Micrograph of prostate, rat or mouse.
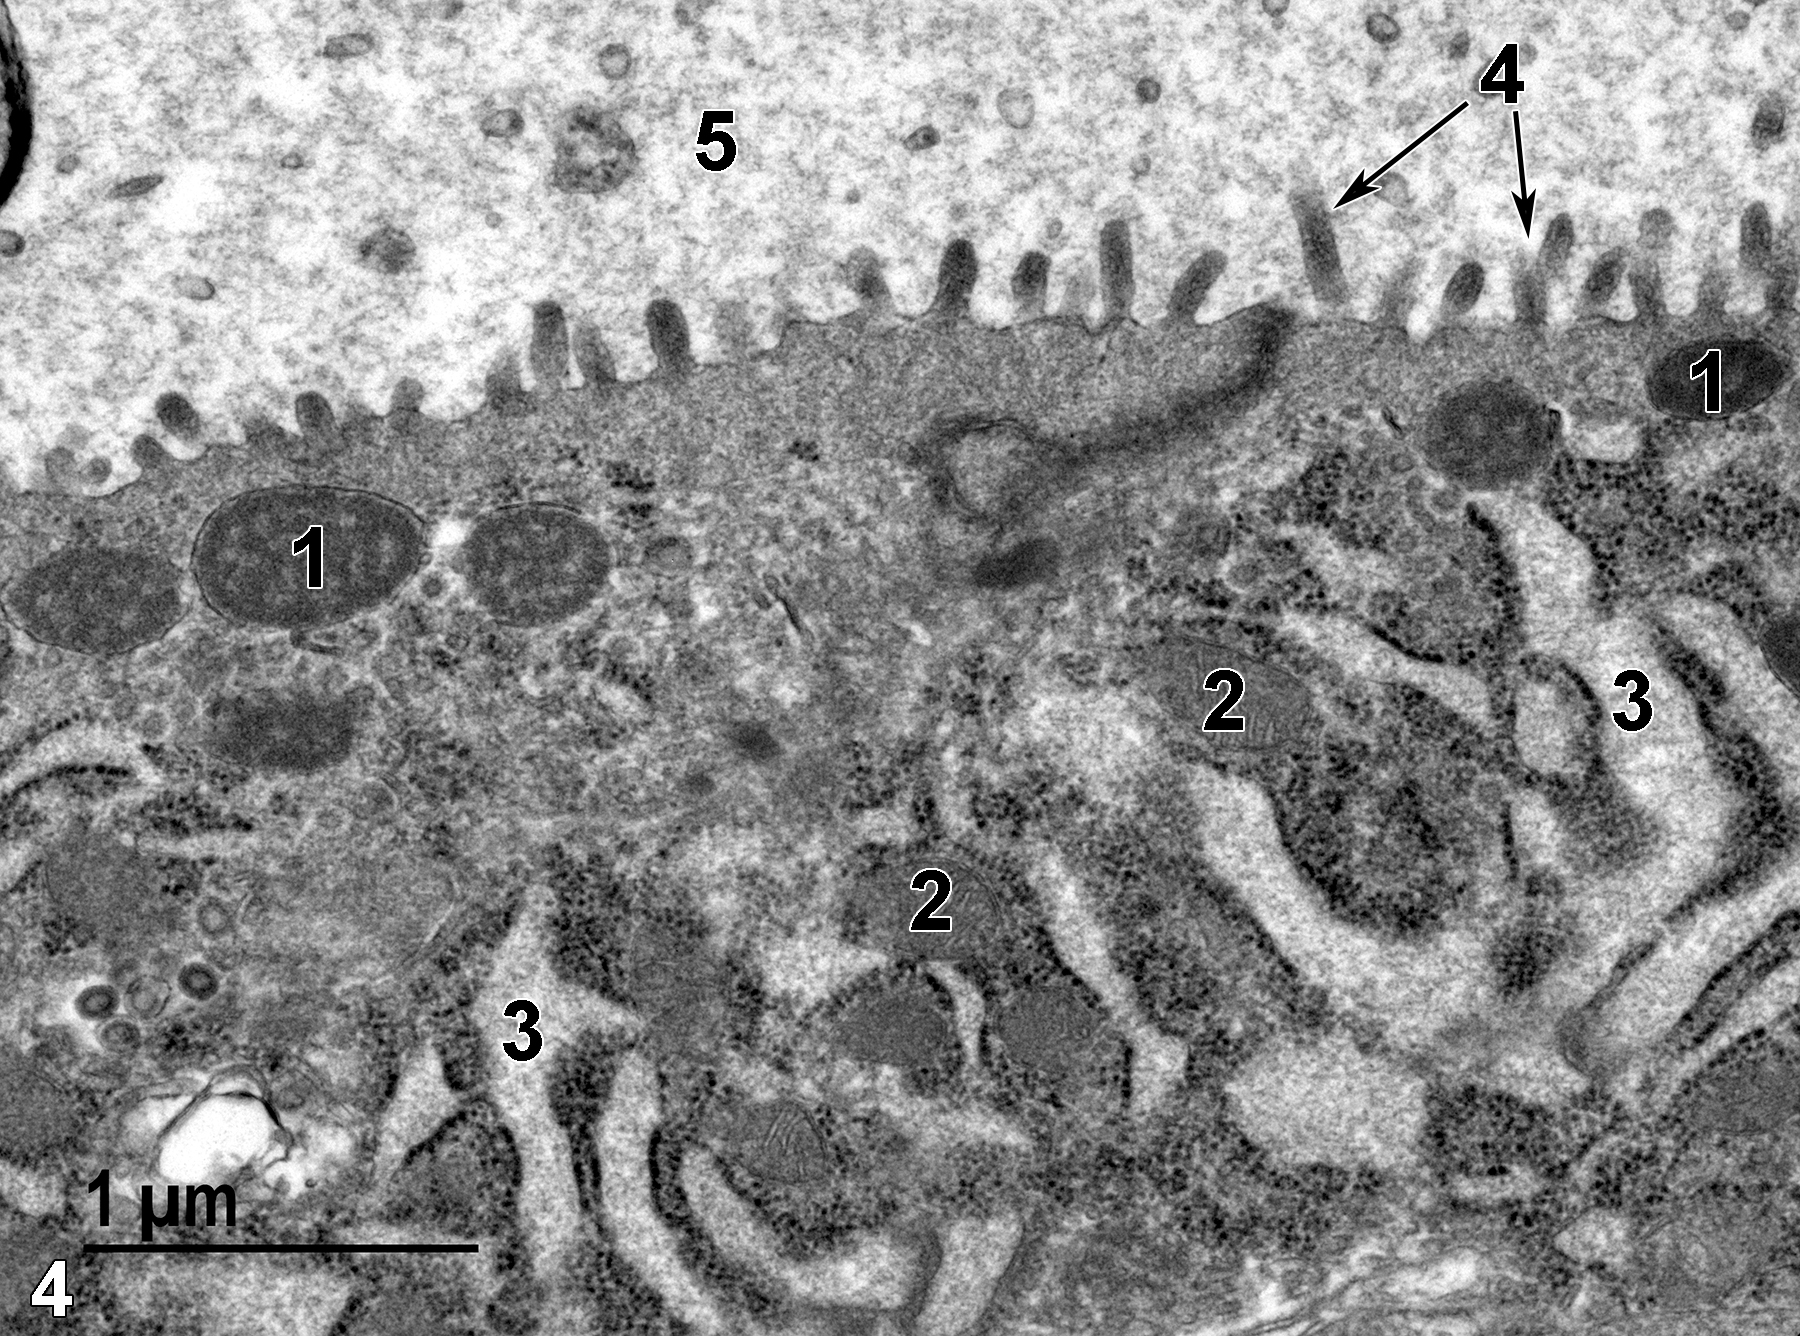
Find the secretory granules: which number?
Number 1.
